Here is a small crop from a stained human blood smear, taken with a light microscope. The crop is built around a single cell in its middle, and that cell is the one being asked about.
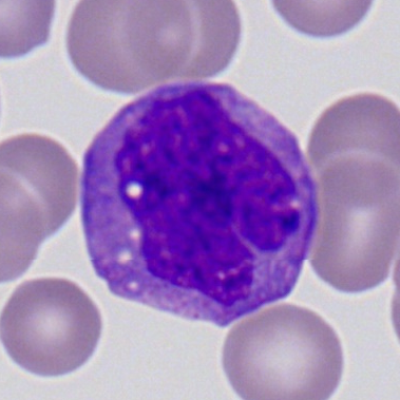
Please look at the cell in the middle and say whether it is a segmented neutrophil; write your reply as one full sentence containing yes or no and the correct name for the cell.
No, the cell of interest here is a monocyte and not a segmented neutrophil.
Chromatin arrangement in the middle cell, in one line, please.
Chromatin in the nucleus here is coarsely clumped.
